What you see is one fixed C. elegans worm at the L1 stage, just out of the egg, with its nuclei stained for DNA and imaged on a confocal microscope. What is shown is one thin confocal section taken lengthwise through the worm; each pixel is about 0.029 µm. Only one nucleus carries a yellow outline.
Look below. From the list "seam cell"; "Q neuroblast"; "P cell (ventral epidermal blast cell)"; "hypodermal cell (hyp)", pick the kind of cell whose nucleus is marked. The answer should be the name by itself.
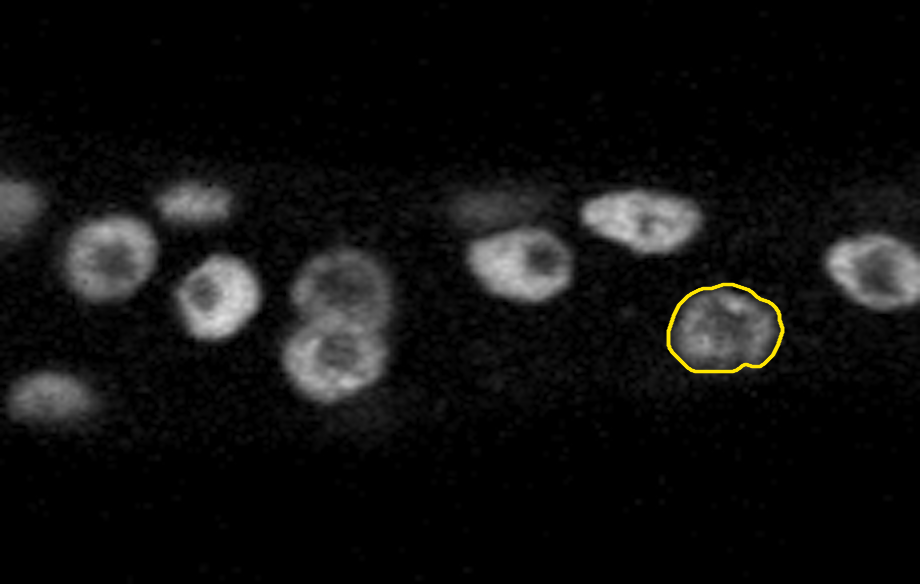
hypodermal cell (hyp)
